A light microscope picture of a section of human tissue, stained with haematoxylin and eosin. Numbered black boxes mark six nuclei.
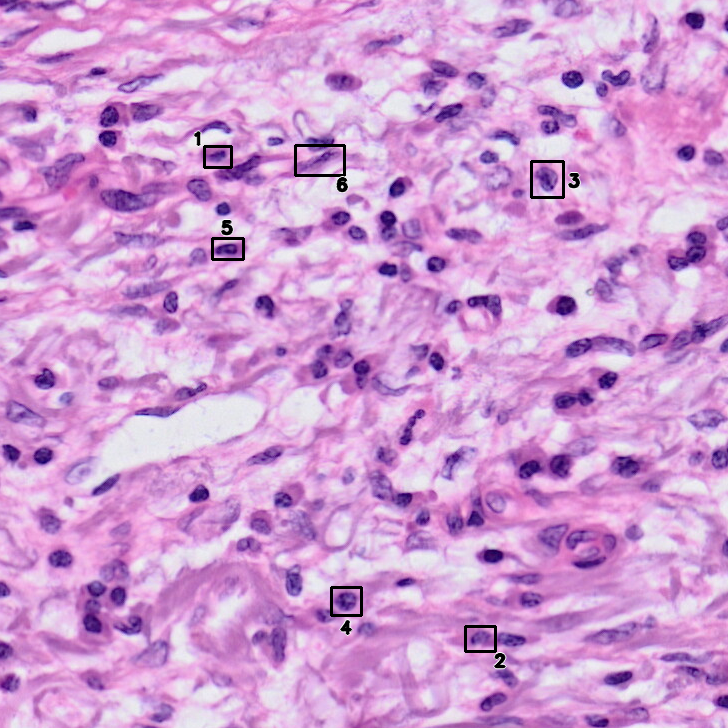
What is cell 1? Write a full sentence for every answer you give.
Cell number 1 in this section is a plasma cell.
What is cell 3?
The cell carrying label 3 is identified as a lymphocyte.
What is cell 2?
The cell referred to as 2 is a plasma cell.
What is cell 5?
Among the marked nuclei, number 5 belongs to a plasma cell.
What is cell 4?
Within this field of view, the cell labelled 4 is a plasma cell.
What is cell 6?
The cell numbered 6 represents a fibroblast or myofibroblast.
